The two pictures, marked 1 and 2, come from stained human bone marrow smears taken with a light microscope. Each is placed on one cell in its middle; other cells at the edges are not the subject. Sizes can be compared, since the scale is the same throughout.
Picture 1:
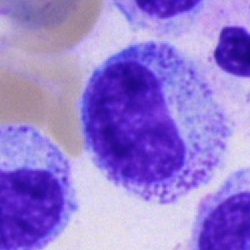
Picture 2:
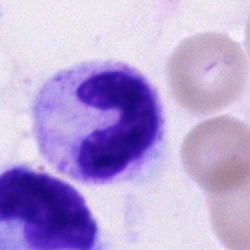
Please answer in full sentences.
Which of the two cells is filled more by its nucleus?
Of the two, the nucleus in picture 1 makes up the greater part of its cell.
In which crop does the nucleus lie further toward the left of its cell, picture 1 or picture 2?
It is the nucleus in picture 1 that lies further toward the left of its cell.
